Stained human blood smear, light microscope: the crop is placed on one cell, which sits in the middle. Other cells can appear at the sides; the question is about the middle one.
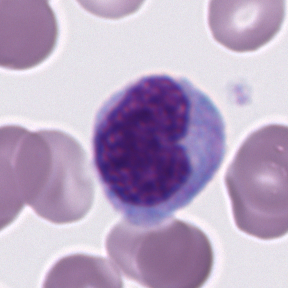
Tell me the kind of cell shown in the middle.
monocyte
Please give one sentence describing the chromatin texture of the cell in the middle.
Thanks for asking; the chromatin is coarsely clumped.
